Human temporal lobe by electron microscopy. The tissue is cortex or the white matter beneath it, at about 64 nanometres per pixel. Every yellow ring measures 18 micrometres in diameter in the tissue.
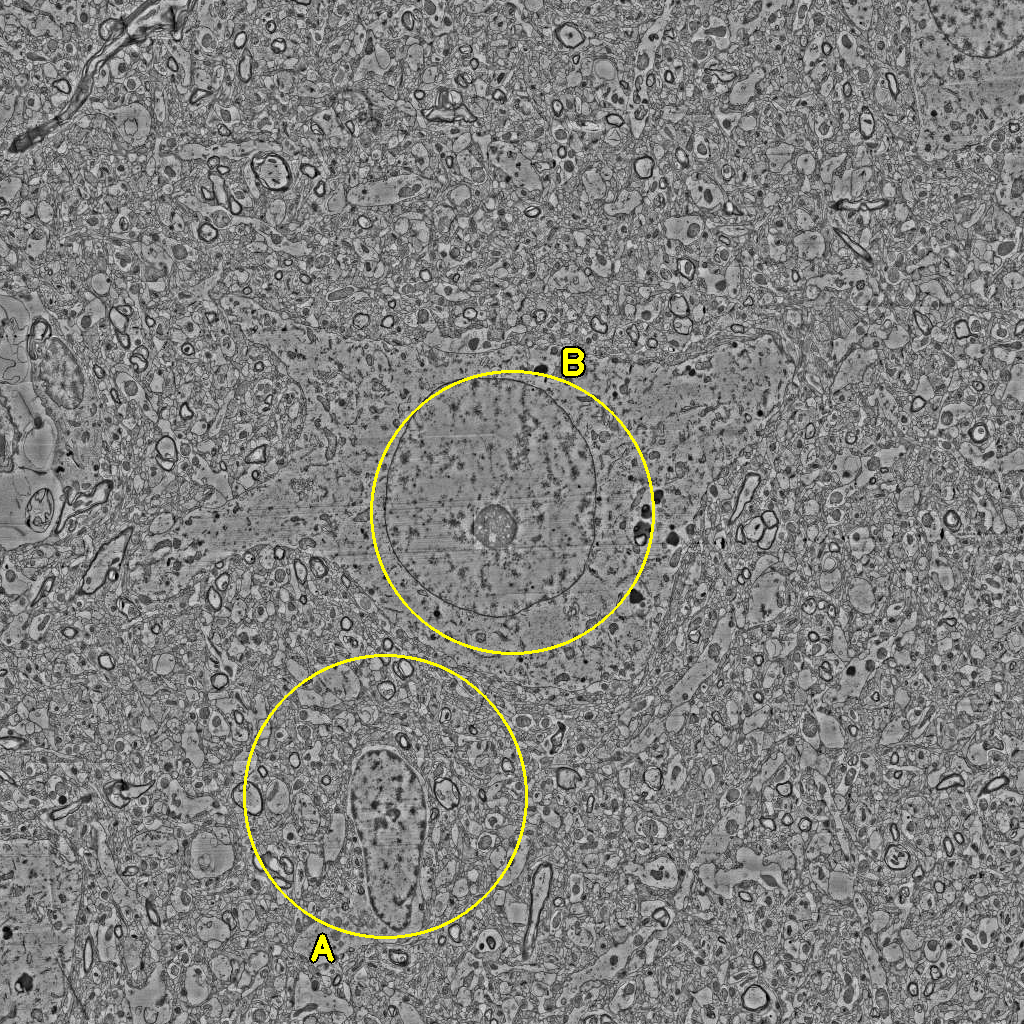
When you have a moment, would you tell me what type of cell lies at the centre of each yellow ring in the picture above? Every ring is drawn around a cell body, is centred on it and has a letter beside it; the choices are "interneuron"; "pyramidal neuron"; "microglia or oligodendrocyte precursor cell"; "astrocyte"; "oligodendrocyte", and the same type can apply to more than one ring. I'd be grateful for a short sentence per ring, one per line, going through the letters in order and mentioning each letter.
The cell at the centre of ring A is a microglial cell or oligodendrocyte precursor cell.
The cell at the centre of ring B is a pyramidal neuron.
